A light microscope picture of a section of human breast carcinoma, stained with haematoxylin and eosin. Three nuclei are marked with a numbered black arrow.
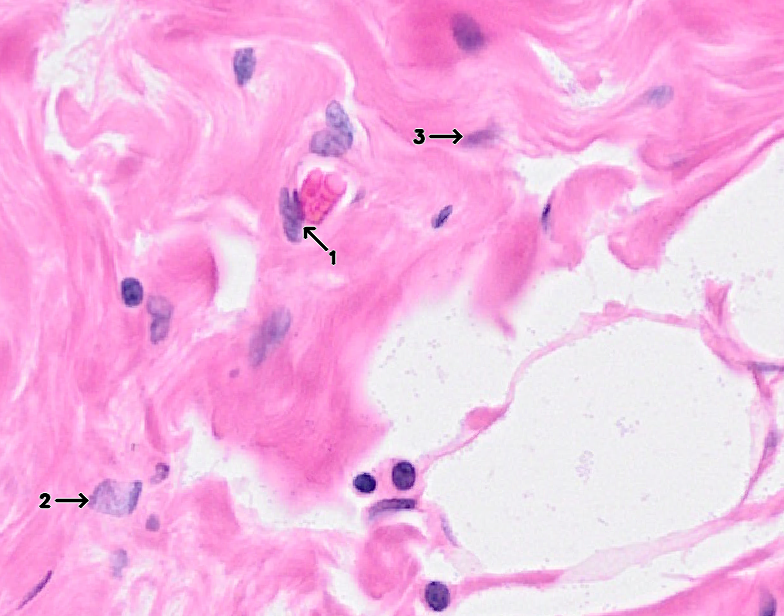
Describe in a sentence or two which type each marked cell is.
Cell 1 is an endothelial cell, cell 2 is a fibroblast and cell 3 is a fibroblast.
